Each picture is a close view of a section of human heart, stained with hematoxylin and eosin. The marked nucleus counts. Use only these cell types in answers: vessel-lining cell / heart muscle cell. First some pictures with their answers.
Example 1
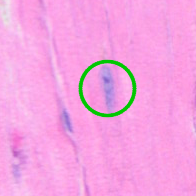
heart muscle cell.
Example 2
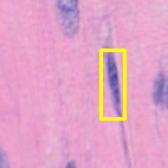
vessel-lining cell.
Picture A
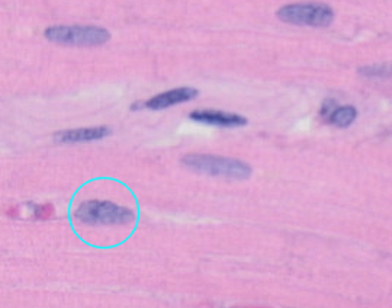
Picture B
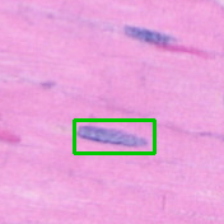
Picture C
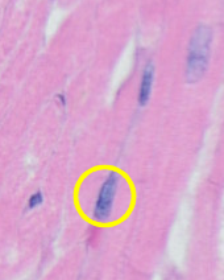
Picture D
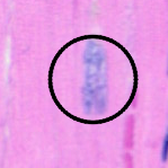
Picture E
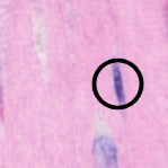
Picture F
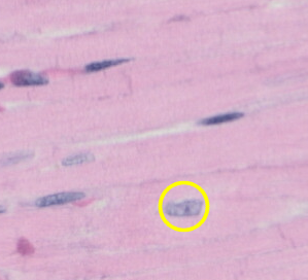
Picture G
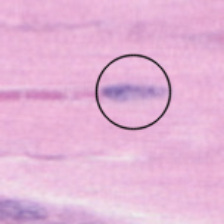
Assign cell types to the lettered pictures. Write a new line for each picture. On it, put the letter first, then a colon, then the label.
A: heart muscle cell.
B: heart muscle cell.
C: vessel-lining cell.
D: heart muscle cell.
E: vessel-lining cell.
F: heart muscle cell.
G: vessel-lining cell.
